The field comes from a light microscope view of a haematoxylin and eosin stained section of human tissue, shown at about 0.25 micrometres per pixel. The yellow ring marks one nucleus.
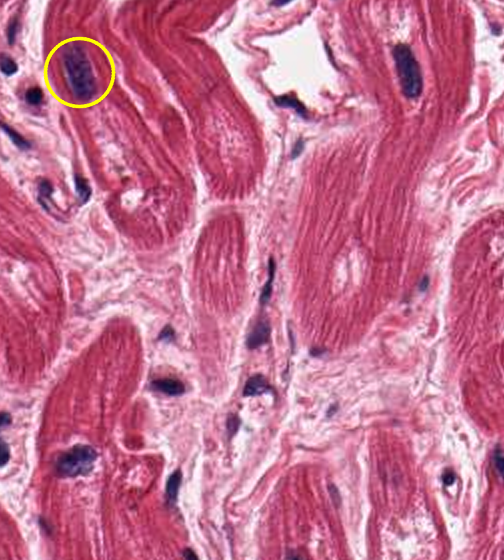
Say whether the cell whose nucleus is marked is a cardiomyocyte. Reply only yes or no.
yes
